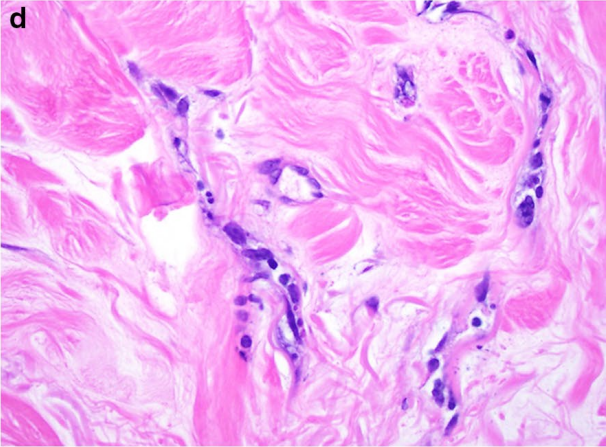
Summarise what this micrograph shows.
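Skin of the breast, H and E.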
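Thick pink collagen bundles fill the field. Between them run thin, compressed, slightly angular vascular channels. Each channel is lined by cells with dark purple, oval to spindle-shaped nuclei. These small vessels dissect through the surrounding dermal collagen rather than forming well-rounded lumens.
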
